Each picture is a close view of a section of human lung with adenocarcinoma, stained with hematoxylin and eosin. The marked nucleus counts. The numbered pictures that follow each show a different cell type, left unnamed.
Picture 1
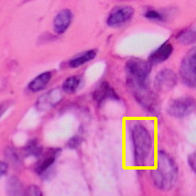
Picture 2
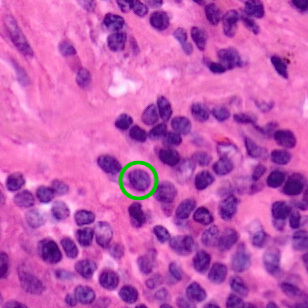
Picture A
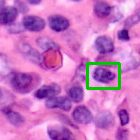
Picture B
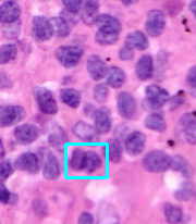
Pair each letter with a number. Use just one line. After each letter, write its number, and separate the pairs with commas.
A 2, B 2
